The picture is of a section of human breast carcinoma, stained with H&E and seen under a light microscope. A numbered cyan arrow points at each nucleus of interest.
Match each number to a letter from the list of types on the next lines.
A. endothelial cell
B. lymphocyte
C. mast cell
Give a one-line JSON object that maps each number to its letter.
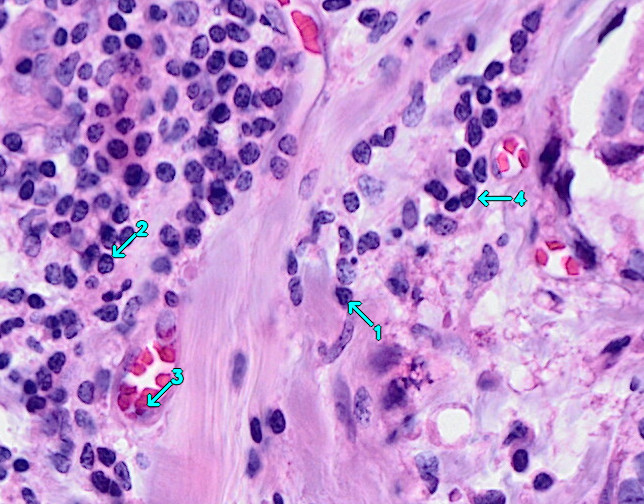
{"1": "B", "2": "B", "3": "A", "4": "B"}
